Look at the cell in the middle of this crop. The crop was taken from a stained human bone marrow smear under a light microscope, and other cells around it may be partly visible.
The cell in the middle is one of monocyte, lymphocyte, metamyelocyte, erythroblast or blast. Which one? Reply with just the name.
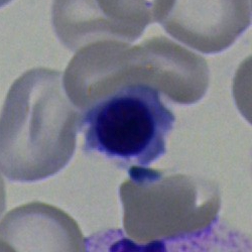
erythroblast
